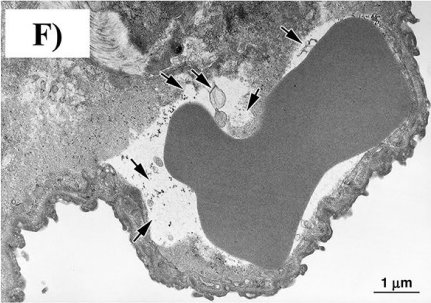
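This is a capillary in the thin wall between air spaces of the lung, seen with the electron microscope. A single red blood cell, smooth and uniformly grey, fills most of the lumen and bends to its shape. Around it lies a pale rim of plasma in which a few small round, membrane-bound bodies float. The capillary wall is very thin: a flattened endothelial lining and a thin basal layer separate the blood from the air space, which lies open and empty beside it.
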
